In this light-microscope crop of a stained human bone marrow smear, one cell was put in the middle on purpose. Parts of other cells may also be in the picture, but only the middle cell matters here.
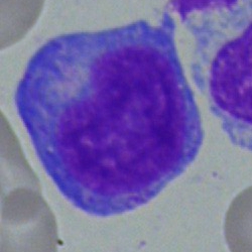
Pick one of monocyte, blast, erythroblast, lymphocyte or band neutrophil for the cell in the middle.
blast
